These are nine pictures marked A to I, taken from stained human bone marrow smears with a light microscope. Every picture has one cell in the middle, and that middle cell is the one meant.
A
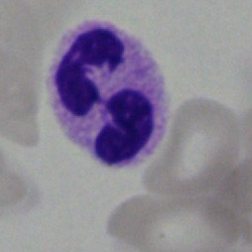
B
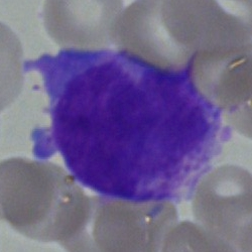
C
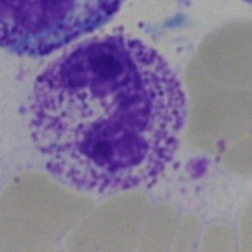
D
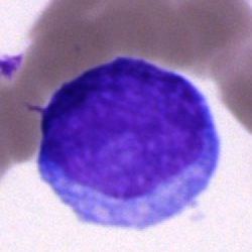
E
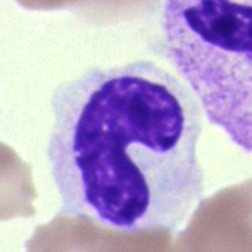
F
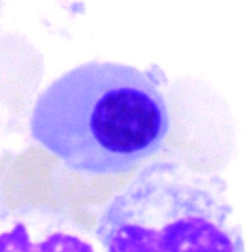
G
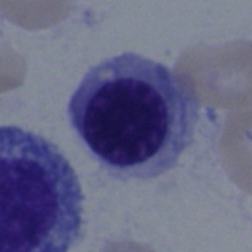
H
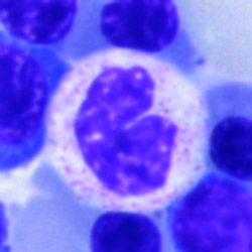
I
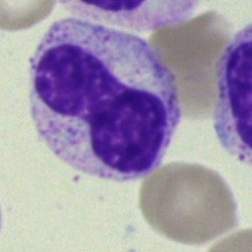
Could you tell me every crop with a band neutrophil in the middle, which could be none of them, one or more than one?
C, E, H, I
